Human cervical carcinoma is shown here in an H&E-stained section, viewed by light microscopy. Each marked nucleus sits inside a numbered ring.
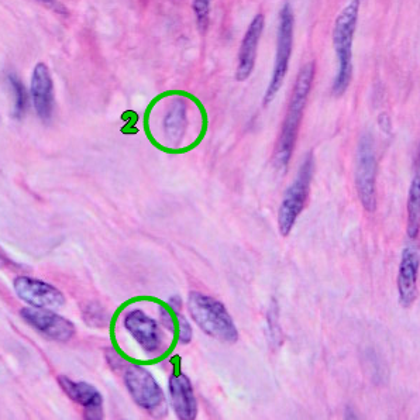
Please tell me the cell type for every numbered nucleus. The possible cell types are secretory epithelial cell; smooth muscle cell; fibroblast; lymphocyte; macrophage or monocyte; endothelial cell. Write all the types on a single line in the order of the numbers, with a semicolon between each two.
endothelial cell; smooth muscle cell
